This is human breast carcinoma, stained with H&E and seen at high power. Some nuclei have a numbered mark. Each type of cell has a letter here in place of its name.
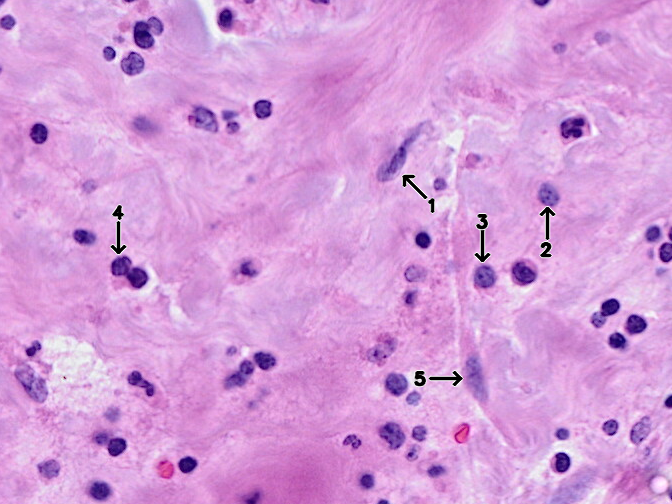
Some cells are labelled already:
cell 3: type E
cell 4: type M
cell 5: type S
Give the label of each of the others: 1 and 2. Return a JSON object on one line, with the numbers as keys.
{"1": "type S", "2": "type E"}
